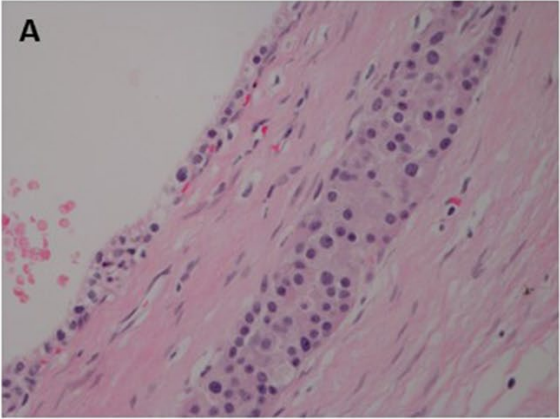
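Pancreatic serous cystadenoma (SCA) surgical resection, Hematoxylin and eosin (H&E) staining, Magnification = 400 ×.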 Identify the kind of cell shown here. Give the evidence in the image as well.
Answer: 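A band-like nest of round cells lies in the fibrous stroma beneath the cyst lining.
Conclusion: islet cells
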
